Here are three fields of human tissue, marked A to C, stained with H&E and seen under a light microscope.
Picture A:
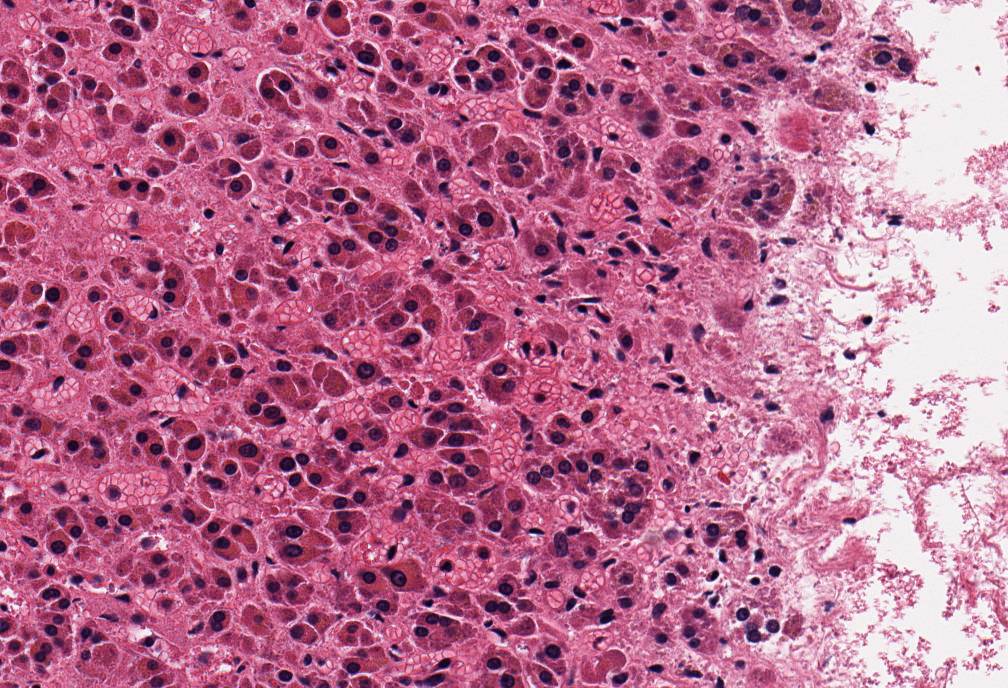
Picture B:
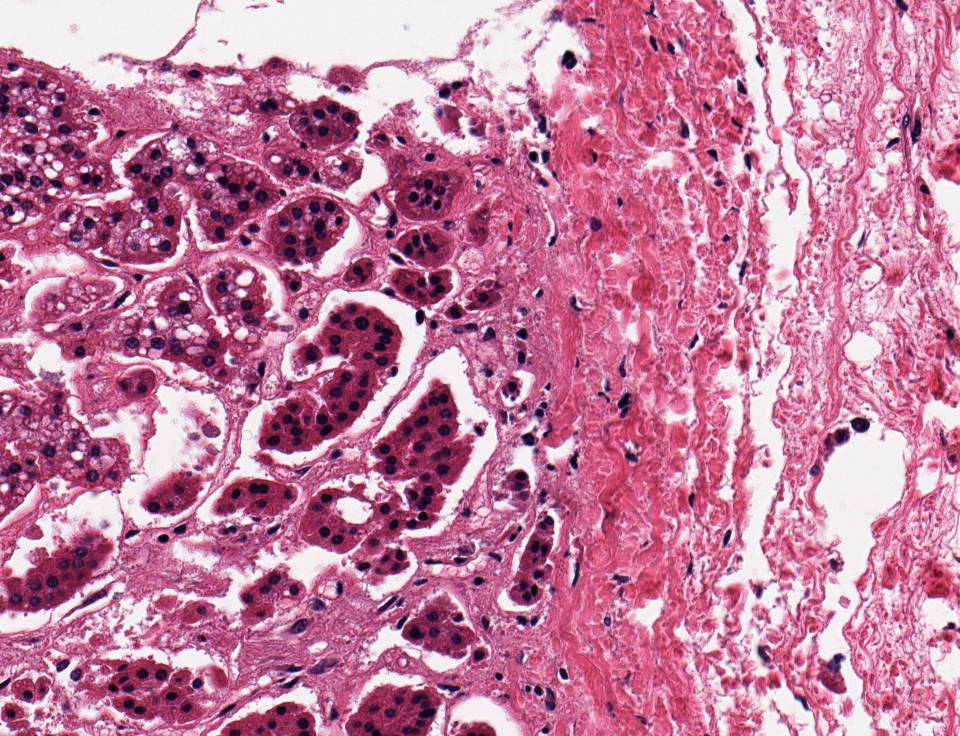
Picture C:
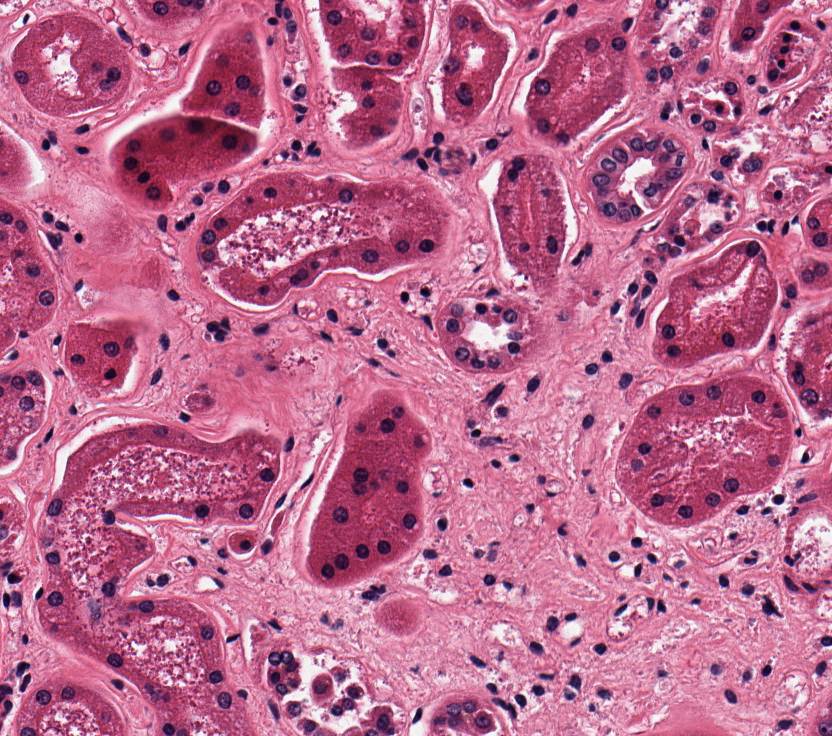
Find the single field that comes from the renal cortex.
C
